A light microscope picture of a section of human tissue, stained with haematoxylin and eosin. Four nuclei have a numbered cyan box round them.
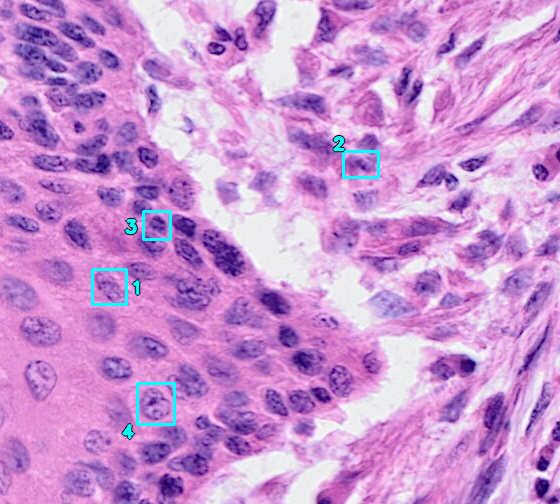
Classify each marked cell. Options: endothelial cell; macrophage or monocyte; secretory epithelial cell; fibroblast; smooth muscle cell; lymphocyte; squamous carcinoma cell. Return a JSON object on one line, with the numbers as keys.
{"1": "squamous carcinoma cell", "2": "fibroblast", "3": "squamous carcinoma cell", "4": "squamous carcinoma cell"}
